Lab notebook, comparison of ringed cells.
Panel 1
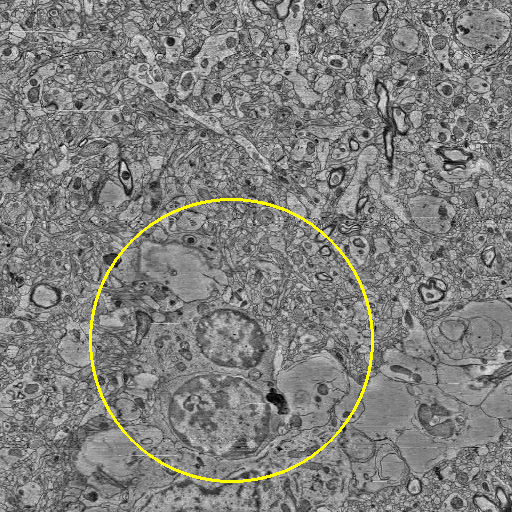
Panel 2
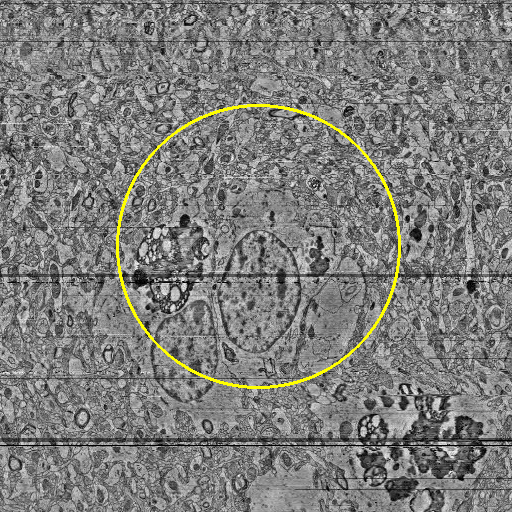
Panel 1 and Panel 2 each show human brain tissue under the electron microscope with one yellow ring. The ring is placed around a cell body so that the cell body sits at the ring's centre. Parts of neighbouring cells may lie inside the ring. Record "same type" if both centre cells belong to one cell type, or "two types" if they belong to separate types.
two types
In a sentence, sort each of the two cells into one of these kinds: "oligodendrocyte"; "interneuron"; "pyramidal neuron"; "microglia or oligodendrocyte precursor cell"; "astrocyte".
The first of the two cells is an oligodendrocyte, and the second is an astrocyte.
